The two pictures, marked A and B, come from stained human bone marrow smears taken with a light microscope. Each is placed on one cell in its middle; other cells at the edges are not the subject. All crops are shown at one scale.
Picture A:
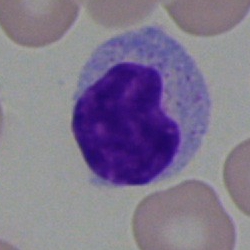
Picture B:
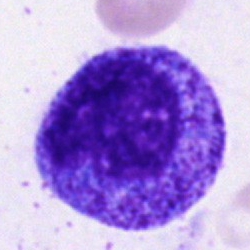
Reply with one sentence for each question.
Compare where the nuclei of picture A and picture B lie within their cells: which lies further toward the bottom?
The nucleus in picture A lies further toward the bottom of its cell.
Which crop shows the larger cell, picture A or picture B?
The cell in picture B is larger, with about 1.5 times the area of the one in picture A.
